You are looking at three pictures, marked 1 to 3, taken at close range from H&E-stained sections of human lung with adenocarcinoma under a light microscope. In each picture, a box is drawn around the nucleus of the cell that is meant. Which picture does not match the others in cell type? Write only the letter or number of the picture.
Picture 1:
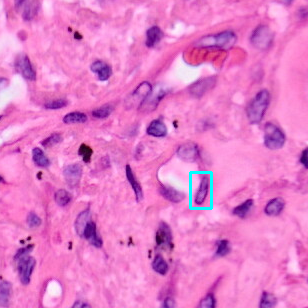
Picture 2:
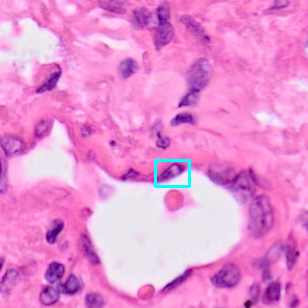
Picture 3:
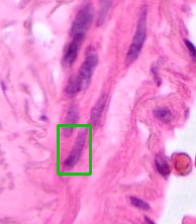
3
